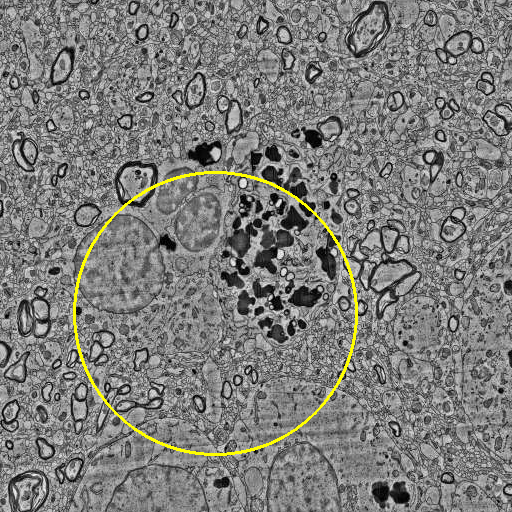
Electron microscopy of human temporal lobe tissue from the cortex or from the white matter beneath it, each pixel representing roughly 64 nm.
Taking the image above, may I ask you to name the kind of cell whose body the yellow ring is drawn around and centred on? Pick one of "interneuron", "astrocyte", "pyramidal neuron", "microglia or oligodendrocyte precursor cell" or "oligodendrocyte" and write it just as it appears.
oligodendrocyte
